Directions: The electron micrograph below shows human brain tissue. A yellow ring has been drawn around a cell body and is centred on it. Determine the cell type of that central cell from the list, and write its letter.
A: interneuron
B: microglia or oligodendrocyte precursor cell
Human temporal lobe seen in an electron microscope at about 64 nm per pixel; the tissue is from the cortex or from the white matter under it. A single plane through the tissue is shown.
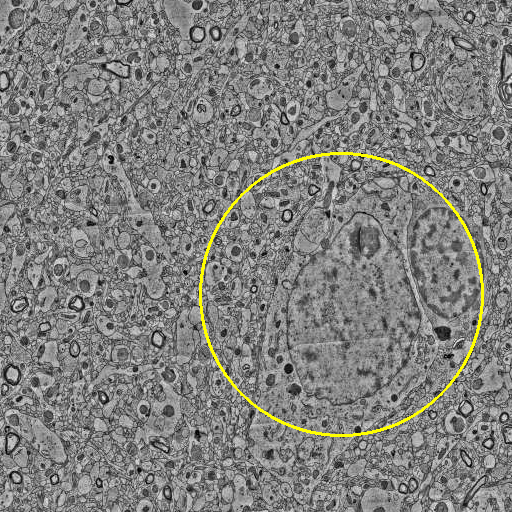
A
